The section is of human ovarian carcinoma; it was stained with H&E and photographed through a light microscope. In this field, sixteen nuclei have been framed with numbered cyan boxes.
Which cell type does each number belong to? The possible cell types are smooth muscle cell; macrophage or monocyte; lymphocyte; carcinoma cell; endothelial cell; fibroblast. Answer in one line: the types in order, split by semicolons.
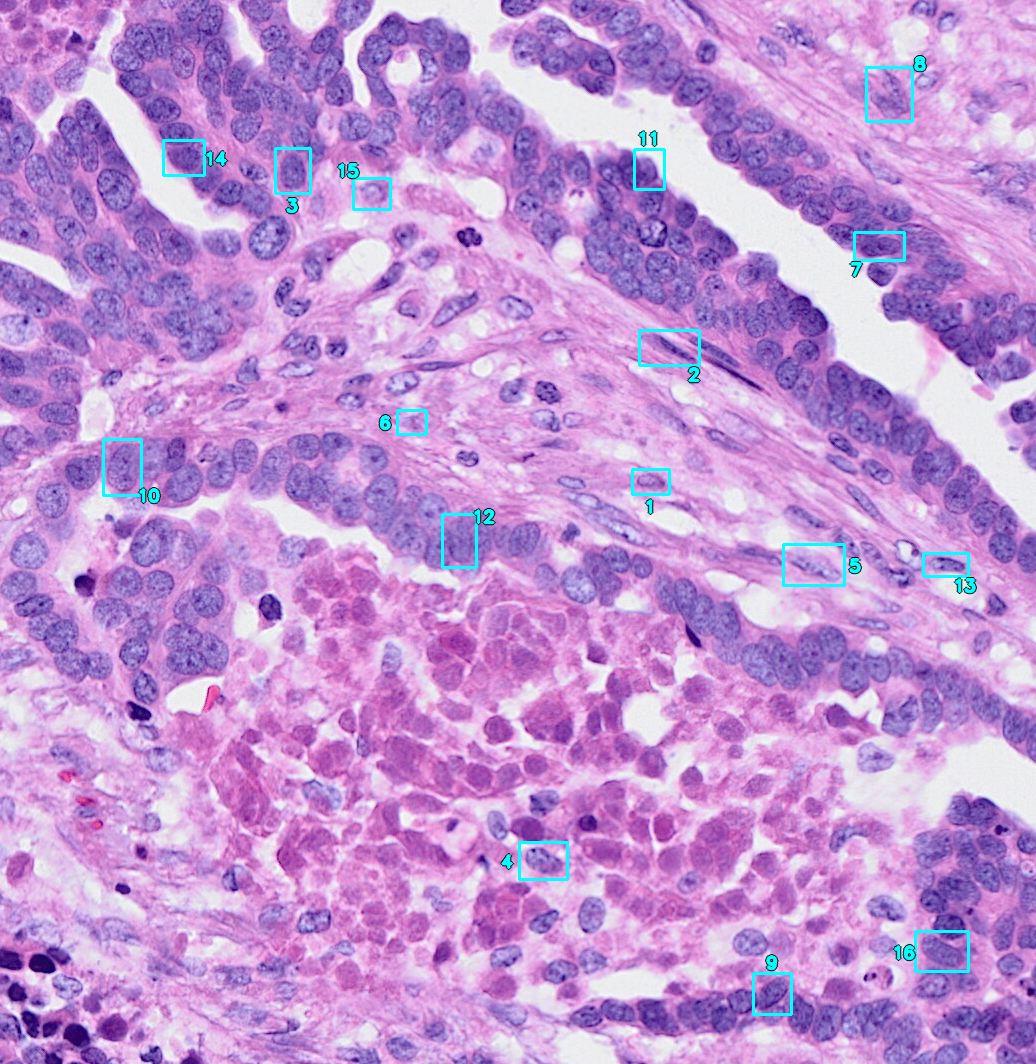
fibroblast; fibroblast; carcinoma cell; macrophage or monocyte; fibroblast; fibroblast; carcinoma cell; fibroblast; carcinoma cell; carcinoma cell; carcinoma cell; carcinoma cell; fibroblast; carcinoma cell; fibroblast; carcinoma cell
